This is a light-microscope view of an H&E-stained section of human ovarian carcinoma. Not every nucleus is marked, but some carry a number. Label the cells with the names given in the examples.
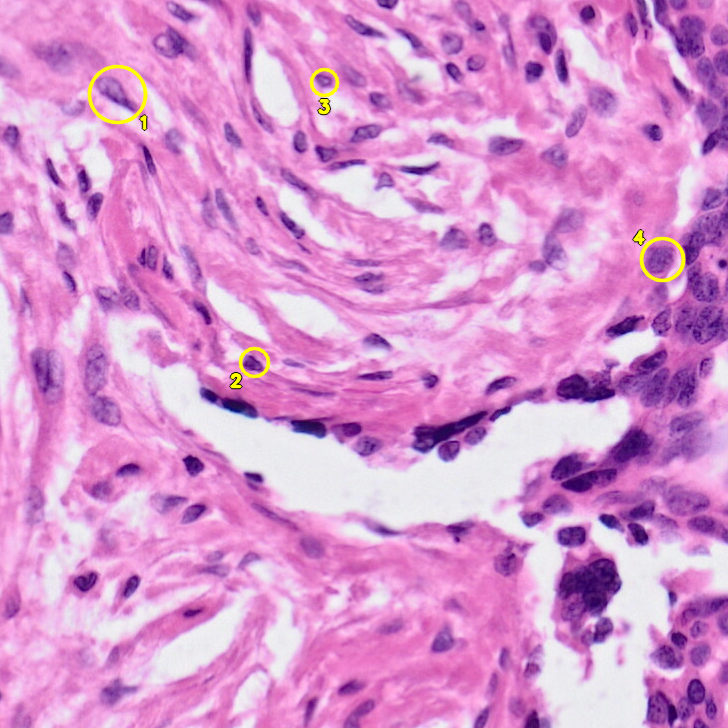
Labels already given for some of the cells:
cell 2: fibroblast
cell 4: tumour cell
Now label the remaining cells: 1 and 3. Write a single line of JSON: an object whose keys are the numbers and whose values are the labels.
{"1": "fibroblast", "3": "fibroblast"}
